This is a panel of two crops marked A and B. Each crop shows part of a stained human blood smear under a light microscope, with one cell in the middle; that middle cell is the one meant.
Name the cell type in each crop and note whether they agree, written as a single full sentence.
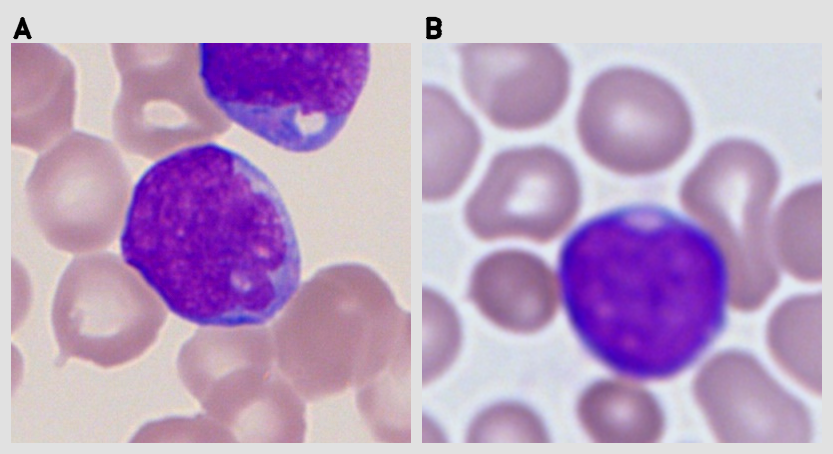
Yes, both crops show myeloblasts, one in each.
